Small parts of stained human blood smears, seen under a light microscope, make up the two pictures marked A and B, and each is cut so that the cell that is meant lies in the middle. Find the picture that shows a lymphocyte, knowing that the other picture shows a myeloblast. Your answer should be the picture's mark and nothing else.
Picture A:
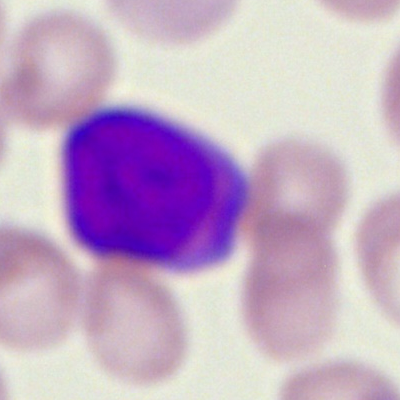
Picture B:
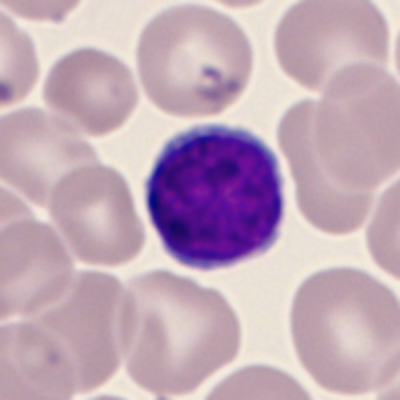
B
